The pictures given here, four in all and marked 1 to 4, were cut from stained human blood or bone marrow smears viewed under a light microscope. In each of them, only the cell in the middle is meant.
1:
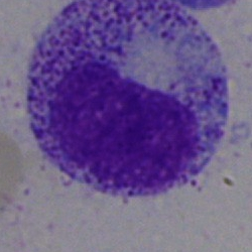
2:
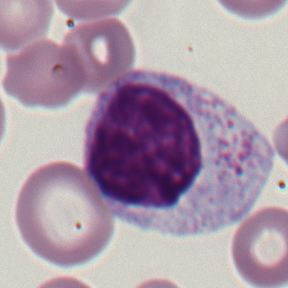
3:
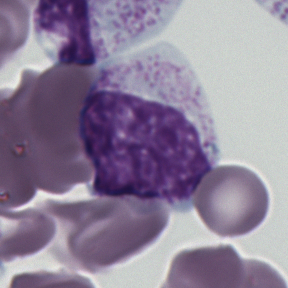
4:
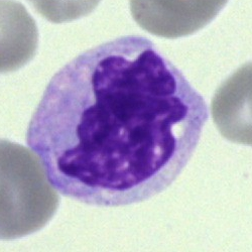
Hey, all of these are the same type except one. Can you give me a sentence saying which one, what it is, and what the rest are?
Crop 4 is a monocyte, while the rest of the set consists of myelocytes.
